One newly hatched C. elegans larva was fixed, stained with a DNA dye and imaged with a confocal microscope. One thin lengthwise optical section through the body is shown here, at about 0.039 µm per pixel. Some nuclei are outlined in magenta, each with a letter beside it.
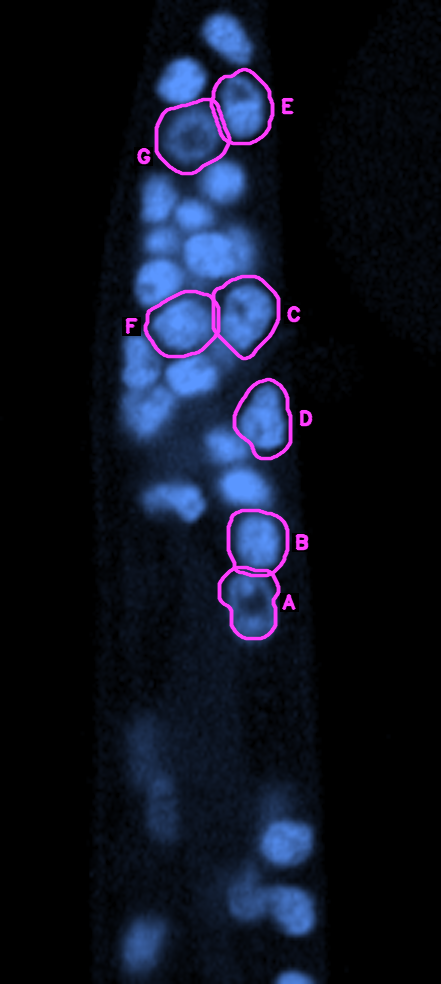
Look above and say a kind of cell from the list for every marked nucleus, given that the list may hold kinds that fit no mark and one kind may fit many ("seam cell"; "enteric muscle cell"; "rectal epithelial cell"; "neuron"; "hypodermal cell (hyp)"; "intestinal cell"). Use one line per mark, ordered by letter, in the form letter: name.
A: intestinal cell
B: neuron
C: rectal epithelial cell
D: rectal epithelial cell
E: hypodermal cell (hyp)
F: neuron
G: seam cell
